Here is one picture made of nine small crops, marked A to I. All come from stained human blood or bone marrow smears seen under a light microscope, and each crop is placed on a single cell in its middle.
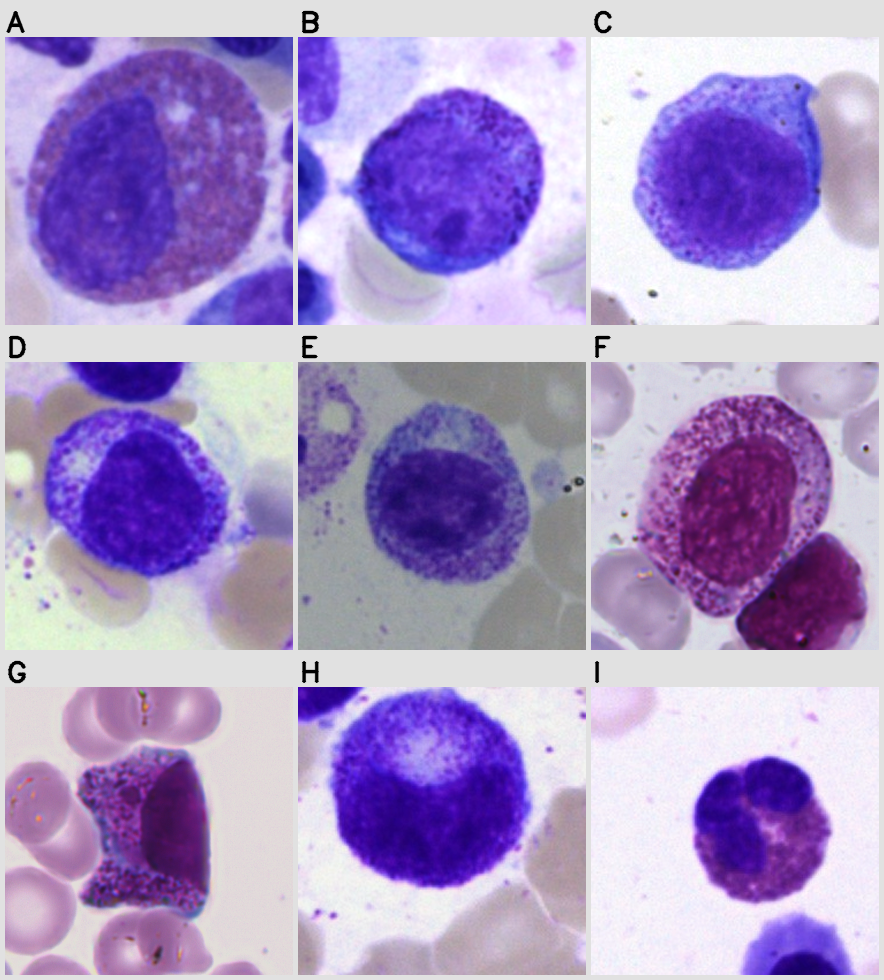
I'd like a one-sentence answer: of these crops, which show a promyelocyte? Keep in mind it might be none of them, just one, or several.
With regard to crops B, C, G and H, the central cells are promyelocytes.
